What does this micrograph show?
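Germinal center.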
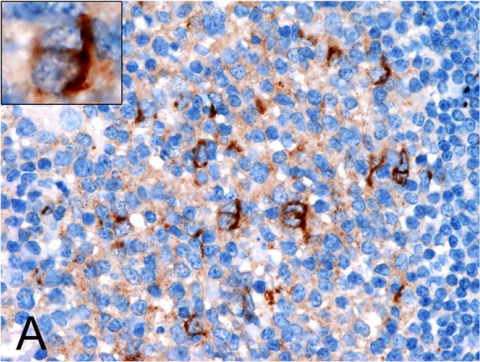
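Scattered among them are follicular dendritic cells picked out by brown staining that hugs the nucleus and trails into thin, branching processes. The inset shows one such cell with two closely apposed nuclei outlined by a brown rim.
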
